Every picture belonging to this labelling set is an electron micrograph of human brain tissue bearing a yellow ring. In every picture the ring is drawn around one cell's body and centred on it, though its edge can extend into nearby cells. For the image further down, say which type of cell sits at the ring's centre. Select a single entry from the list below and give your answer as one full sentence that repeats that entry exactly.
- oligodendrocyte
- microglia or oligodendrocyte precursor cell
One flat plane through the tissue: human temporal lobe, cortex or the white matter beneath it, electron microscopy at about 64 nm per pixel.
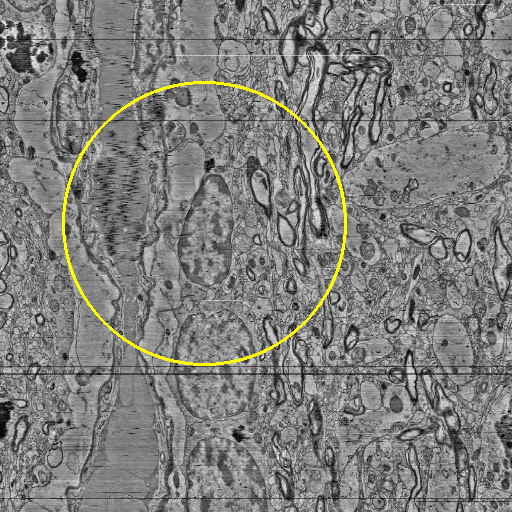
In the picture, a microglial cell or oligodendrocyte precursor cell is the cell at the centre of the yellow ring.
